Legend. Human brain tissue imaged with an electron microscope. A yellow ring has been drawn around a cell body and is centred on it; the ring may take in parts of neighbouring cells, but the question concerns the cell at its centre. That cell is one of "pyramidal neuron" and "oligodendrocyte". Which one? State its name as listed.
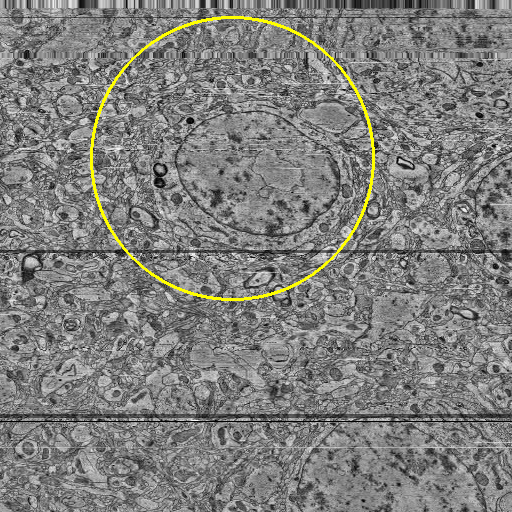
pyramidal neuron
